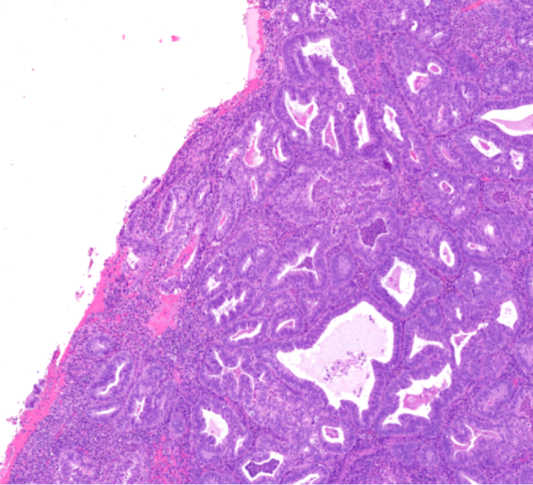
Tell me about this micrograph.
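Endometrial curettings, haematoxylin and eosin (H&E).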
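The glands vary in size and shape, many with angular or irregular outlines, and lie back to back with very little stroma between them. The lining cells have purple, somewhat stratified nuclei, and several dilated lumens hold pale pink secretion. A thin rim of pink tissue edges the fragment on the left.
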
